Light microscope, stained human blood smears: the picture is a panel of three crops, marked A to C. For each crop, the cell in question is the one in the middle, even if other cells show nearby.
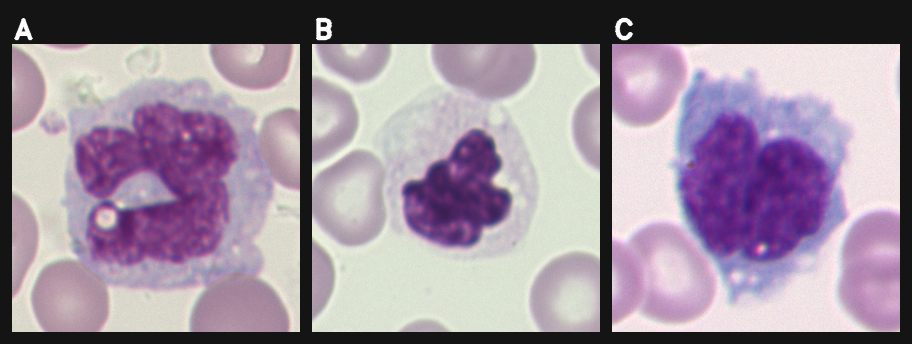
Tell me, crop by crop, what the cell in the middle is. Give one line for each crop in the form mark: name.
A: monocyte
B: segmented neutrophil
C: monocyte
